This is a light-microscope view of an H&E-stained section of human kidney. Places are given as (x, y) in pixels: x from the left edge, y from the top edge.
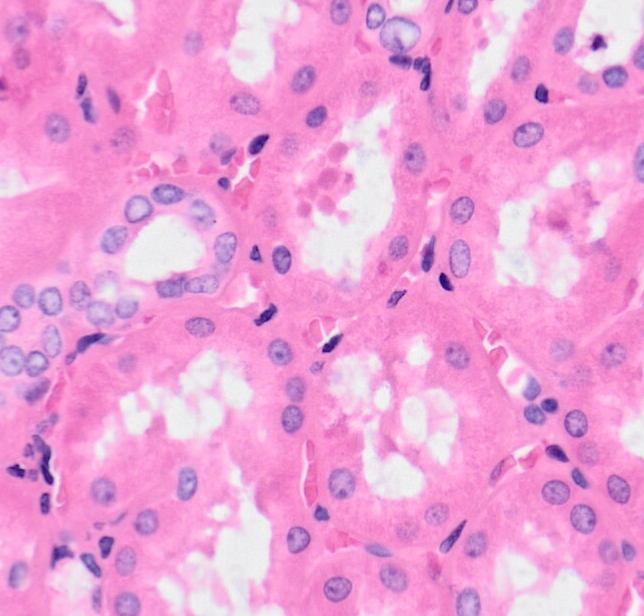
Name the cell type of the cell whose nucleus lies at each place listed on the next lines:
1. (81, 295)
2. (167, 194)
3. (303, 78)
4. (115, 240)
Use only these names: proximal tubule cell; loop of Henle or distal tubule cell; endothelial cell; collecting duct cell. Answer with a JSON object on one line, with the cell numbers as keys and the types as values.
{"1": "collecting duct cell", "2": "collecting duct cell", "3": "proximal tubule cell", "4": "collecting duct cell"}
